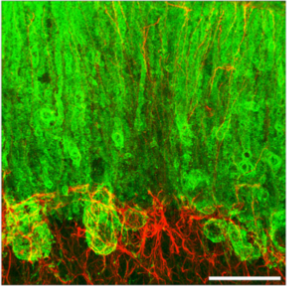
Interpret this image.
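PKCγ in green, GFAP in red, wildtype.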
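Several hollow green rings scattered through the upper band are cross-cut profiles of thicker dendrites. Red fibres are concentrated near and below the row of large cell bodies, branching there, while only a few thin red strands extend upward into the layer.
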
